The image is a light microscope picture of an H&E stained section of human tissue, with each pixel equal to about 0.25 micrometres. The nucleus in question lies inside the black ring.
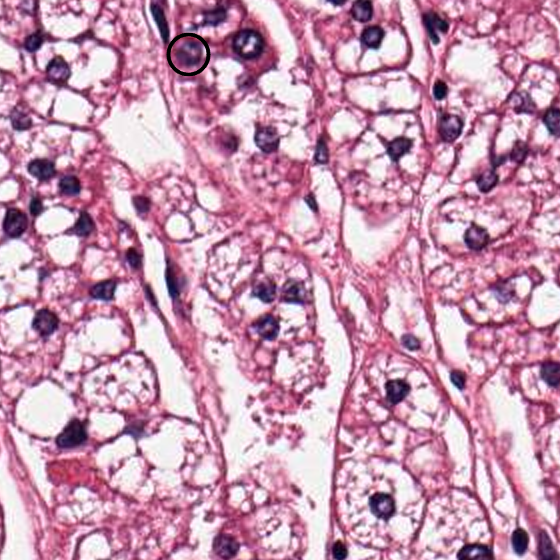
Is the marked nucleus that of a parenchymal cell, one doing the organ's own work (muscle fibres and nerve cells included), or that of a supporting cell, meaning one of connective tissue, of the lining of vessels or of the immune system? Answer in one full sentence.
In the image the marked nucleus is that of an adrenal cortical cell, a parenchymal cell.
